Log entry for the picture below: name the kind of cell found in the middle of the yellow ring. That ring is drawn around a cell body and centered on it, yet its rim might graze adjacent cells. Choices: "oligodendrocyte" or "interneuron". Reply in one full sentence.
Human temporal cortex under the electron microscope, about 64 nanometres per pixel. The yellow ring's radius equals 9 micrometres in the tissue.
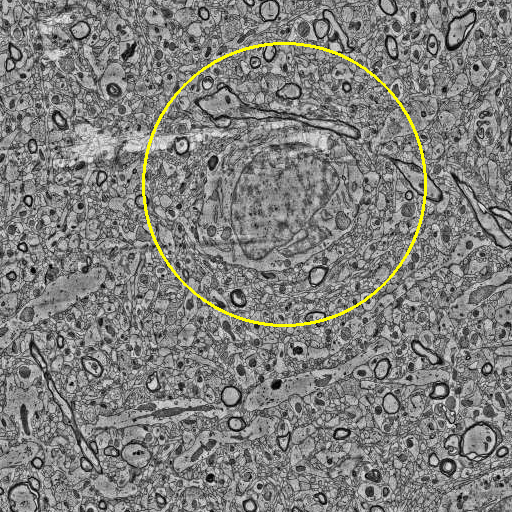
The cell in the middle of the yellow ring in this picture is an interneuron.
